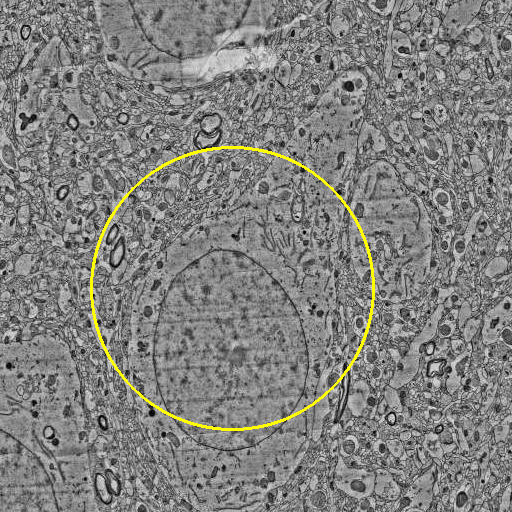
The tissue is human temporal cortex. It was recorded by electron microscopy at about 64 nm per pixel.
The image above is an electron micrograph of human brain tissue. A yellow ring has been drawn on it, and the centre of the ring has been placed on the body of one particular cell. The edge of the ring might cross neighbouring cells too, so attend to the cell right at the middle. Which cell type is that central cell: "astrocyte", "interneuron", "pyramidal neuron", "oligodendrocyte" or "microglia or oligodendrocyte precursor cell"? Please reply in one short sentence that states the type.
The central cell in the ring is a pyramidal neuron.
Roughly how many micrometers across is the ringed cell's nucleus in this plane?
About 13 by 10 micrometres in this plane.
